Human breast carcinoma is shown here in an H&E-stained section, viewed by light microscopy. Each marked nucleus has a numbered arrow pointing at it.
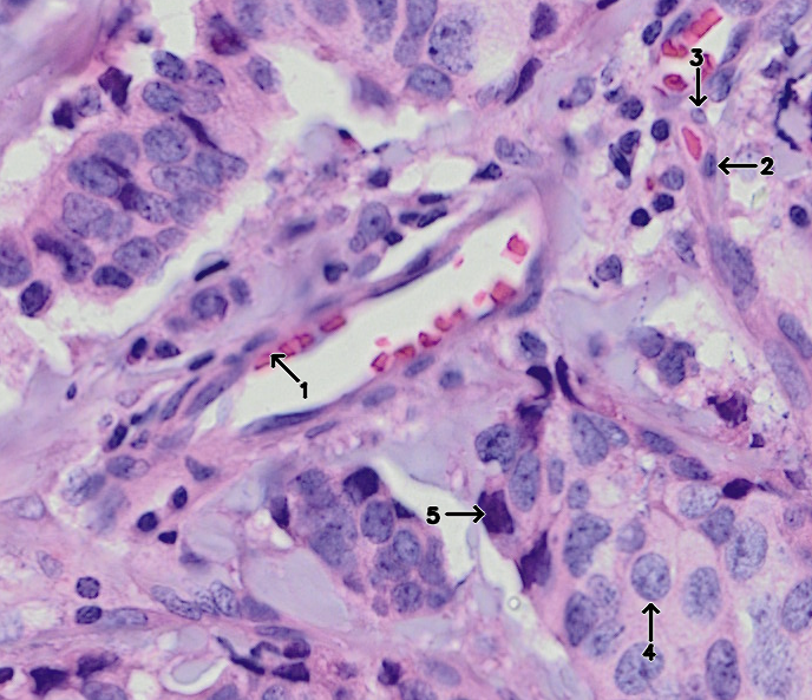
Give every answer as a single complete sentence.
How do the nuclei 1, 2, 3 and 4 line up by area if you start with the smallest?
Smallest first, the nuclei run 3, 2, 1, 4.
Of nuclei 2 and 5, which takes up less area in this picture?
Number 2 is smaller, since number 5 takes up about 2 times as much area.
